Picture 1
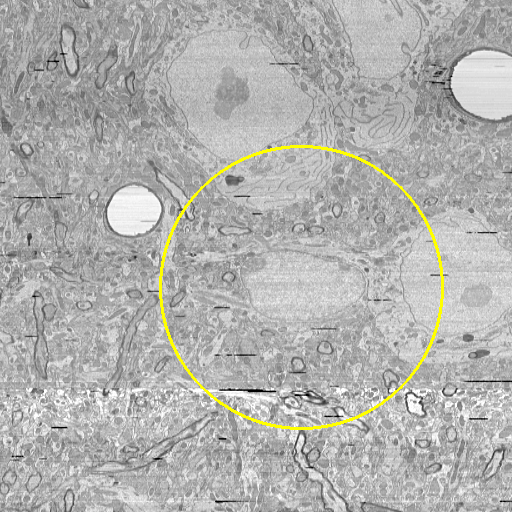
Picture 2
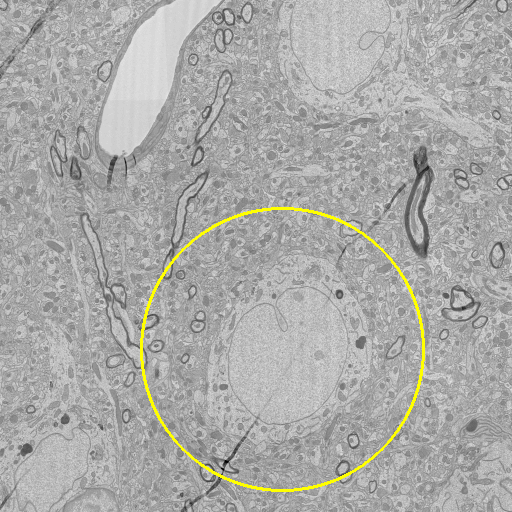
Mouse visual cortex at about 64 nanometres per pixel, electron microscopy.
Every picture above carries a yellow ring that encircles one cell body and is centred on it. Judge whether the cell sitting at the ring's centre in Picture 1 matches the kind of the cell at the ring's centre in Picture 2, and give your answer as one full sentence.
No, the cells centred in the rings of Pictures 1 and 2 belong to two kinds.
